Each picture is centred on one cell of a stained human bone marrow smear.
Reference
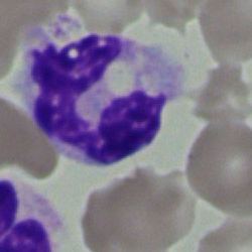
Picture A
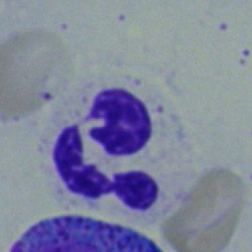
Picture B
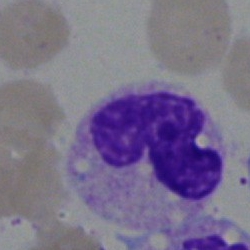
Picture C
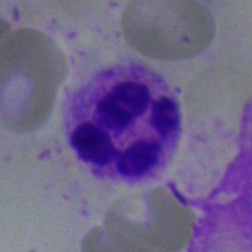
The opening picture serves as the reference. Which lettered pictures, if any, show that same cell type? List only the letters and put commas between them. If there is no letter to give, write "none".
A, C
